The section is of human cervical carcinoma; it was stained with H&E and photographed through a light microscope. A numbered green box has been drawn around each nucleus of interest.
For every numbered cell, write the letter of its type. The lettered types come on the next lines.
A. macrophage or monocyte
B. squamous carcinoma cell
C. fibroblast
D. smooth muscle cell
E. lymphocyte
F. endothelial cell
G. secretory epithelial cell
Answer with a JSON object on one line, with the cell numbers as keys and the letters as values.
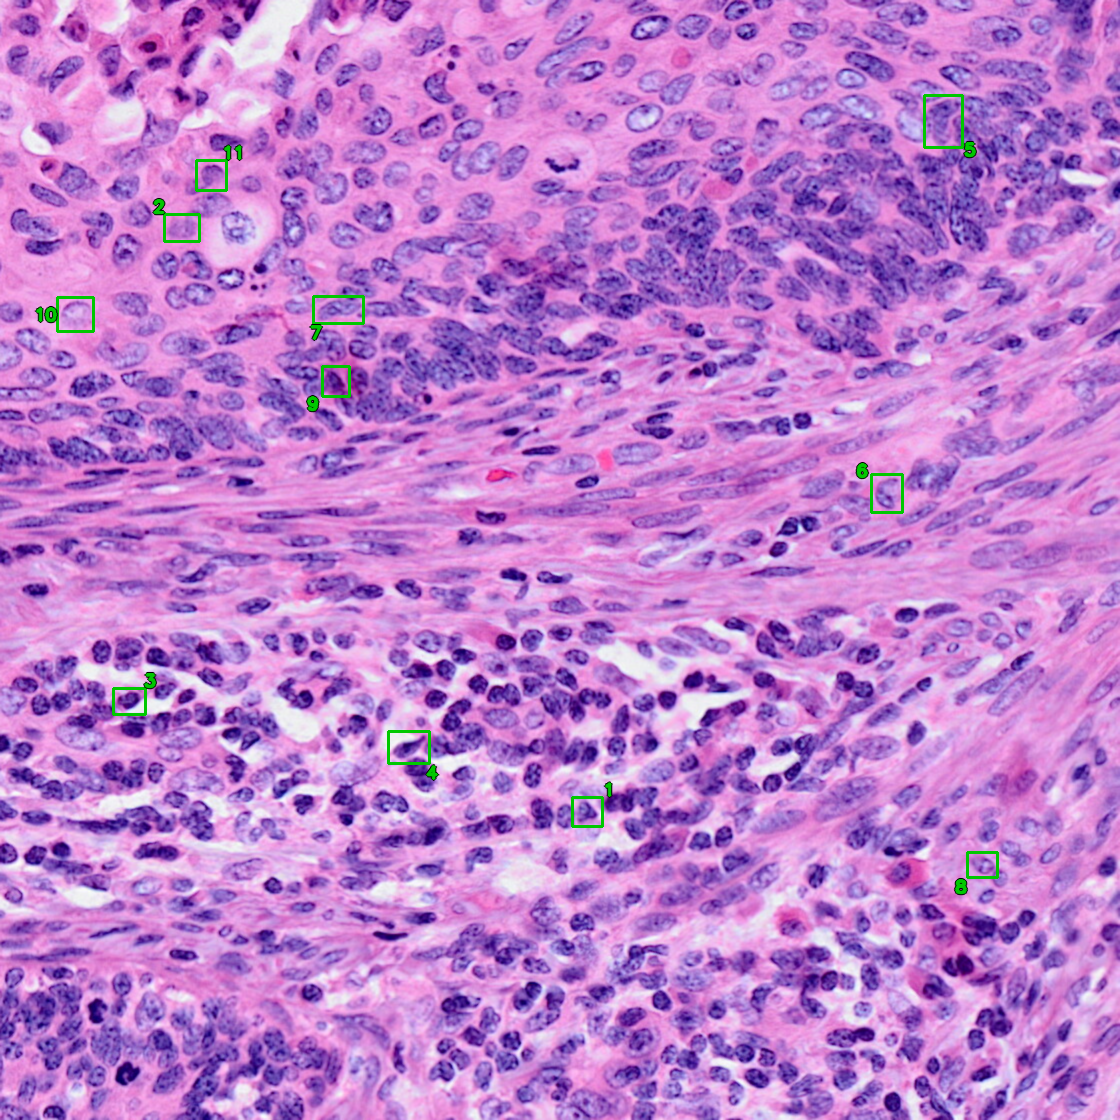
{"1": "E", "2": "B", "3": "E", "4": "E", "5": "B", "6": "D", "7": "B", "8": "D", "9": "B", "10": "B", "11": "B"}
